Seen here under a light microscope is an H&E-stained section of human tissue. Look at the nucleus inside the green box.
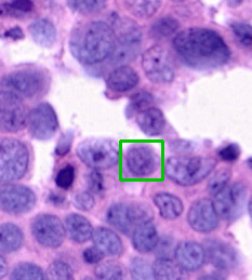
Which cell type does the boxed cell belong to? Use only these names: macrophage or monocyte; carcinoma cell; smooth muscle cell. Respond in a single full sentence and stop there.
In this preparation, the boxed cell is a carcinoma cell.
